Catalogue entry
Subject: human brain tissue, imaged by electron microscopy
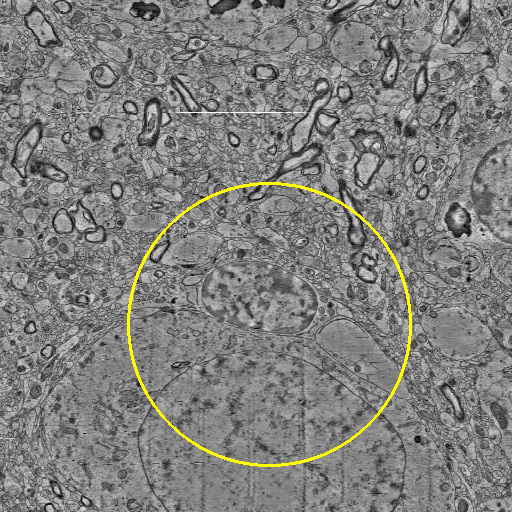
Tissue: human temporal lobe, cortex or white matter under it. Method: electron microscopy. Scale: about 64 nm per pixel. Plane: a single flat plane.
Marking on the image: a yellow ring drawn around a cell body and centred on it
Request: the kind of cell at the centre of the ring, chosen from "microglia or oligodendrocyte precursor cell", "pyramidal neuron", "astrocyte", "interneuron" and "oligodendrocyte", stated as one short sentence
The ring has a microglial cell or oligodendrocyte precursor cell at its centre.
